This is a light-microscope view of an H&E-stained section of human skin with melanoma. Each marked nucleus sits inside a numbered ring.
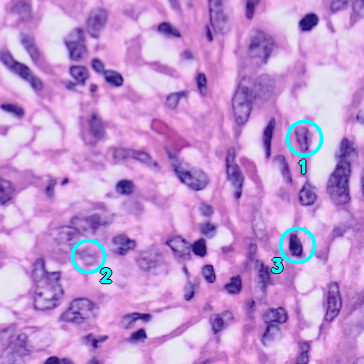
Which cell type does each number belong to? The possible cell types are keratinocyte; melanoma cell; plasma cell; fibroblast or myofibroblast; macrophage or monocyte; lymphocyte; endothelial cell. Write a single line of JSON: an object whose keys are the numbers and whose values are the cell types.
{"1": "melanoma cell", "2": "melanoma cell", "3": "lymphocyte"}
